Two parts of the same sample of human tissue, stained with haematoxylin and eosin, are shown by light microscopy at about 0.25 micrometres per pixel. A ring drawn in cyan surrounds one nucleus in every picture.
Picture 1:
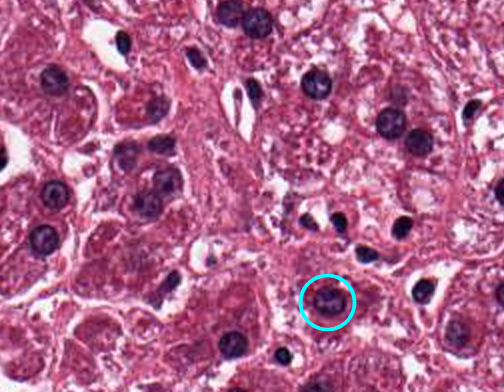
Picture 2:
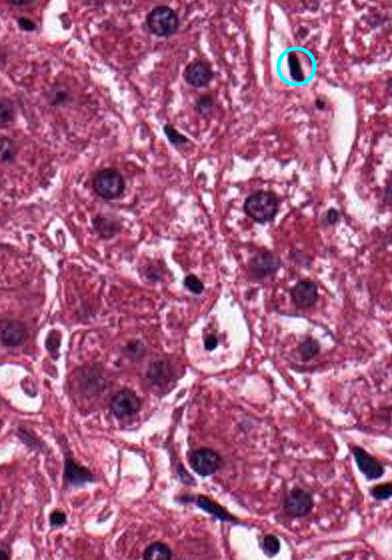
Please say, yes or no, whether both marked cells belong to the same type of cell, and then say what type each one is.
No, the first is an adrenal cortical cell and the second an endothelial cell.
